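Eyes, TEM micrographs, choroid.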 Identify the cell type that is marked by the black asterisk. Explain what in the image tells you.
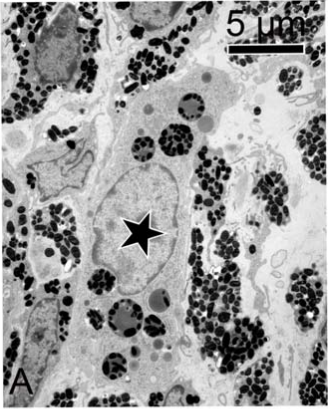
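A large cell with an oval nucleus lies where the asterisk is. Its cytoplasm holds round vacuoles packed with very dark granules. It lies among loose tissue crowded with dark pigment granules. That points to this answer: macrophage.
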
